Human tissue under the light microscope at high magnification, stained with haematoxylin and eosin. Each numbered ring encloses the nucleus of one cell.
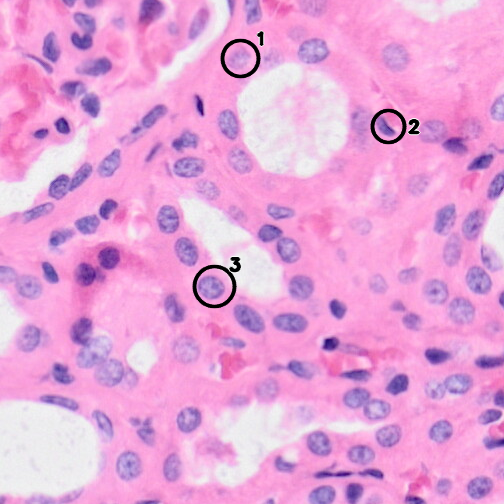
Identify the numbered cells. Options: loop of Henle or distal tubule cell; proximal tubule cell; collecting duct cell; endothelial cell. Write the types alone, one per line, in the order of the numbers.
loop of Henle or distal tubule cell
endothelial cell
collecting duct cell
